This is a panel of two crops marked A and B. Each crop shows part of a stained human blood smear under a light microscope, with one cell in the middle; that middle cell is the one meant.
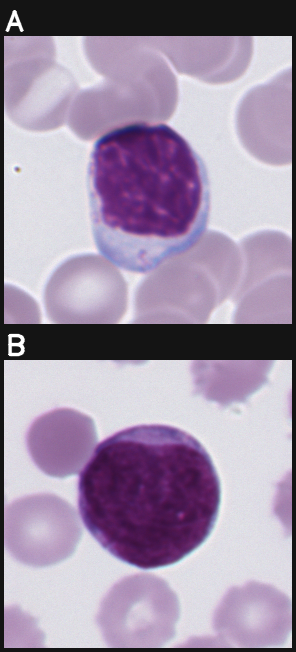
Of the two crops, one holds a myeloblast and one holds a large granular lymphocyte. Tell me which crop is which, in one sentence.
Crop A is labelled a large granular lymphocyte, and crop B is labelled a myeloblast.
